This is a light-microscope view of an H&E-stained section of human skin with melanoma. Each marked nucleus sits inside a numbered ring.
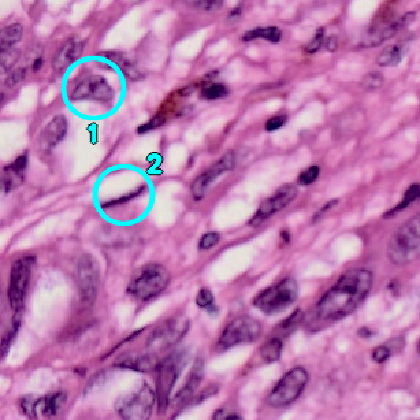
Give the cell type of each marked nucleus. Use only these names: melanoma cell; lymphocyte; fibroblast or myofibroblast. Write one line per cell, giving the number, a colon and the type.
1: melanoma cell
2: fibroblast or myofibroblast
